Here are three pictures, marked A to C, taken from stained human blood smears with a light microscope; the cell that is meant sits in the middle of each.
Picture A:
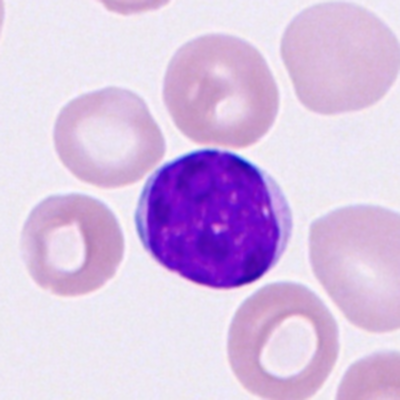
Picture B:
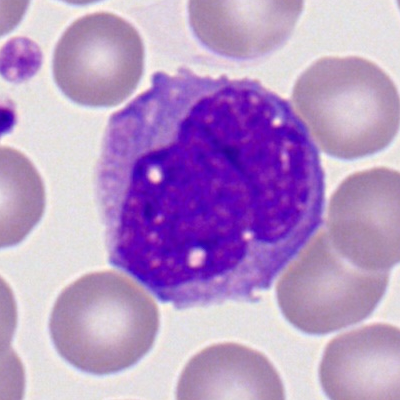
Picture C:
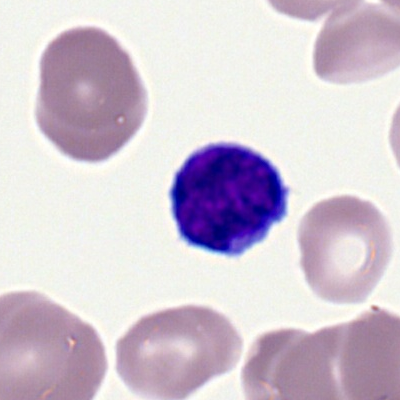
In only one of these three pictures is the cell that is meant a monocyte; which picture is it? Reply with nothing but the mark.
B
